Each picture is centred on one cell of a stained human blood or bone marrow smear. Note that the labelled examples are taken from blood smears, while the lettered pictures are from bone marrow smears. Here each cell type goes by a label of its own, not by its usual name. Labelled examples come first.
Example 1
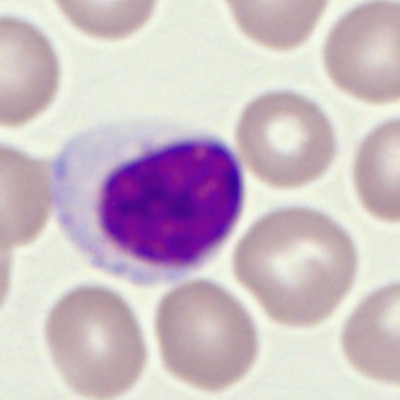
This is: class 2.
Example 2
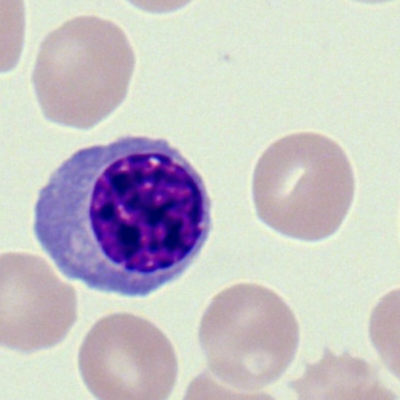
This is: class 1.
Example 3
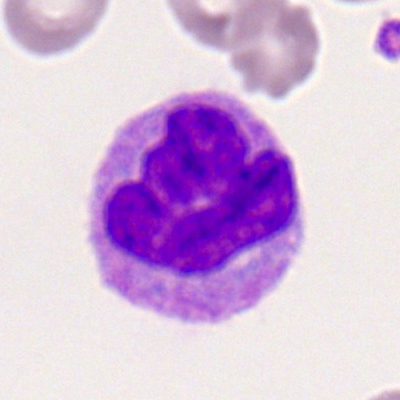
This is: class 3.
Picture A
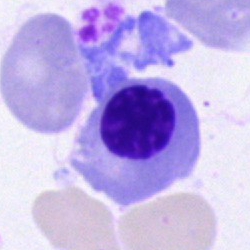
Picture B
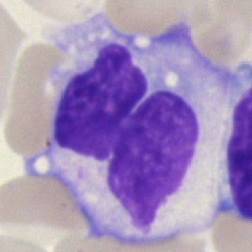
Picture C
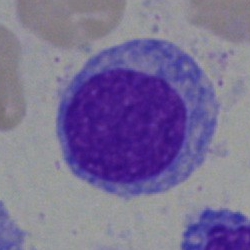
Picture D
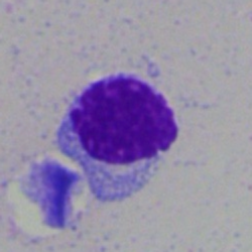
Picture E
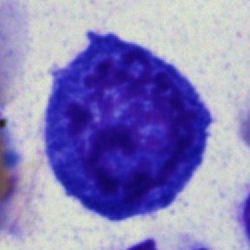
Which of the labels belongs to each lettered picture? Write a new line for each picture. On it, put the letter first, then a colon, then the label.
A: class 1.
B: class 3.
C: class 2.
D: class 2.
E: class 1.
